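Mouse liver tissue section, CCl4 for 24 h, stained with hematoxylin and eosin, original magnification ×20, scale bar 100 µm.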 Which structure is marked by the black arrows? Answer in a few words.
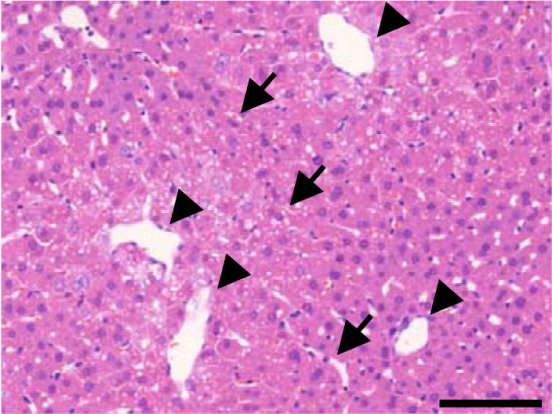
Sinusoids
